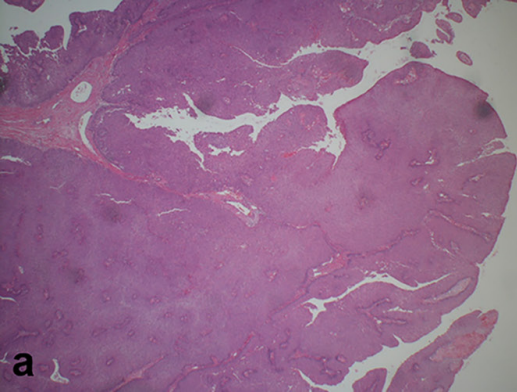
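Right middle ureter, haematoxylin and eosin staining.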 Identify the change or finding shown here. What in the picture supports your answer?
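Broad fronds of thick, purple epithelium separated by clefts. Thin pink stromal cores with small vessels run inside the fronds.
Conclusion: papillary growth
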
